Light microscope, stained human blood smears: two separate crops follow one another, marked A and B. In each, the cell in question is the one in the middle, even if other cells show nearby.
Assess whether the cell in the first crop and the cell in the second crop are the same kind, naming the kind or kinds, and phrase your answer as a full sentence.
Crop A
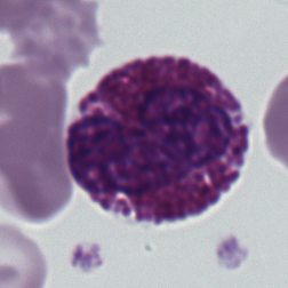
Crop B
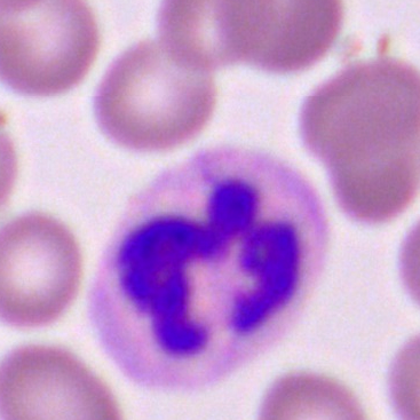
No, the middle of crop A shows an eosinophil, and the middle of crop B shows a segmented neutrophil.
